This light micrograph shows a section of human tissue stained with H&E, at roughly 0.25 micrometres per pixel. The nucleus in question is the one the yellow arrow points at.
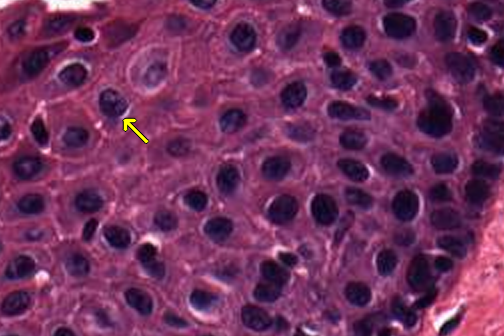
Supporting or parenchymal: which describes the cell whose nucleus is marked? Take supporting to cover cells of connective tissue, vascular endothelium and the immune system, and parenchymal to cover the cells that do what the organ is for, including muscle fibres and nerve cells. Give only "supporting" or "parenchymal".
parenchymal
